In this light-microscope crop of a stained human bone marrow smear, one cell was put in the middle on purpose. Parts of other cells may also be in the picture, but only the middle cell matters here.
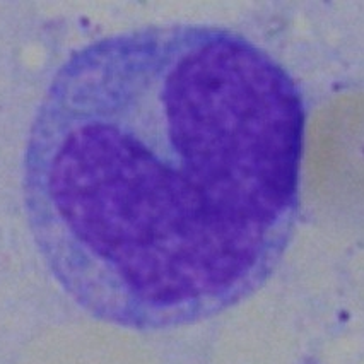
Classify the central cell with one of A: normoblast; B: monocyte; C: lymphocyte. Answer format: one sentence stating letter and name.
What option B states is correct, the central cell being a monocyte.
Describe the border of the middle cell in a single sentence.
Its outline is smooth, with no projections anywhere along the edge.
